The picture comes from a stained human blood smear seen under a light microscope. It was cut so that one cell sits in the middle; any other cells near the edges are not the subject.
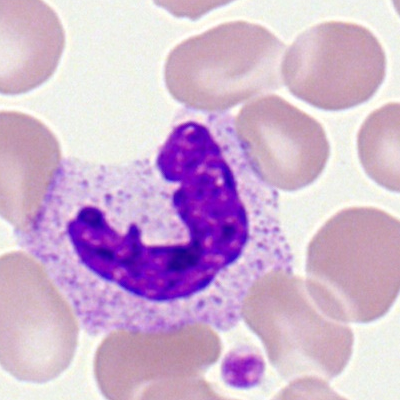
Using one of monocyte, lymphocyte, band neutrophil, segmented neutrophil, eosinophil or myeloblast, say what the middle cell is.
band neutrophil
